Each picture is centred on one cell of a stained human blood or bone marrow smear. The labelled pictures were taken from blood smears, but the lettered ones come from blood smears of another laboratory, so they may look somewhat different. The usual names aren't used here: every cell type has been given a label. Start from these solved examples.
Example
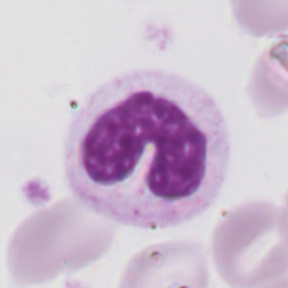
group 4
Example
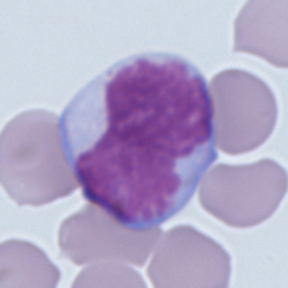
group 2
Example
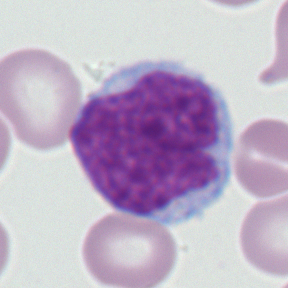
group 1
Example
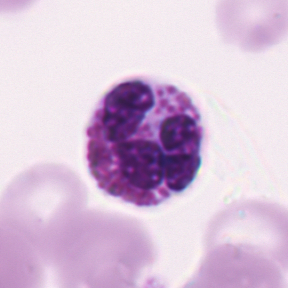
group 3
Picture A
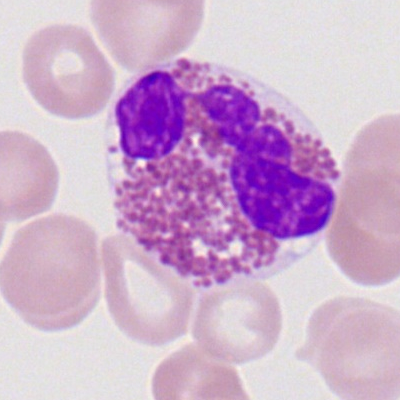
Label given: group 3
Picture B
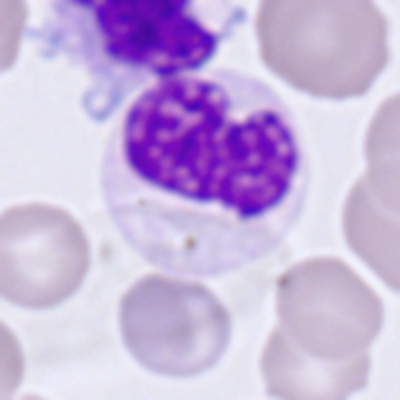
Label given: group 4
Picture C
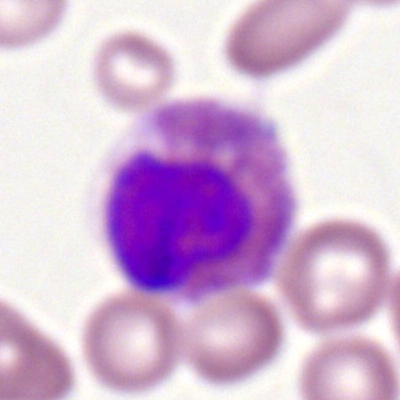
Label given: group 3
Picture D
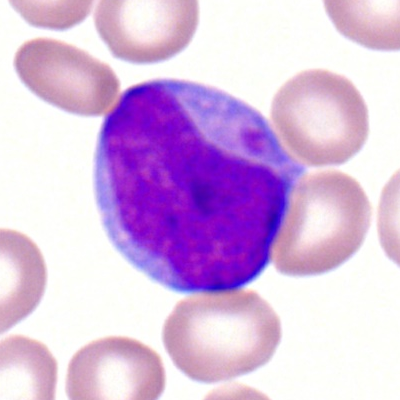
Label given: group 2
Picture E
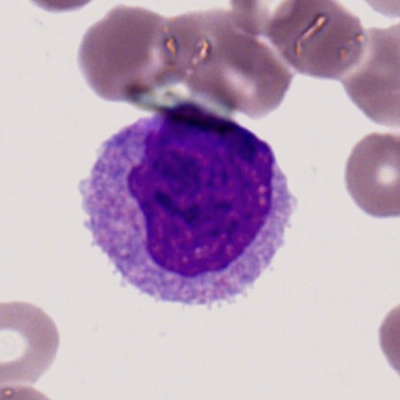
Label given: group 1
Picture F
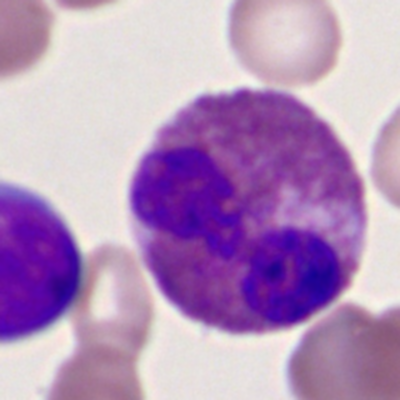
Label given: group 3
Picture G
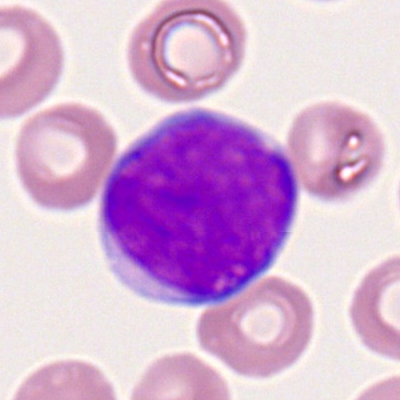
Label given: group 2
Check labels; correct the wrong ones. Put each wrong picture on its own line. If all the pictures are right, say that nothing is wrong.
All labels are correct.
